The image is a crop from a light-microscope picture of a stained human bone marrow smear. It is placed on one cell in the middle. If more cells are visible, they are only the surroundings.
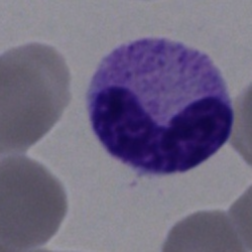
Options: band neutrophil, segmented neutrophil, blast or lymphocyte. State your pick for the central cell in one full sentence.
Regarding the central cell, it is a band neutrophil.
